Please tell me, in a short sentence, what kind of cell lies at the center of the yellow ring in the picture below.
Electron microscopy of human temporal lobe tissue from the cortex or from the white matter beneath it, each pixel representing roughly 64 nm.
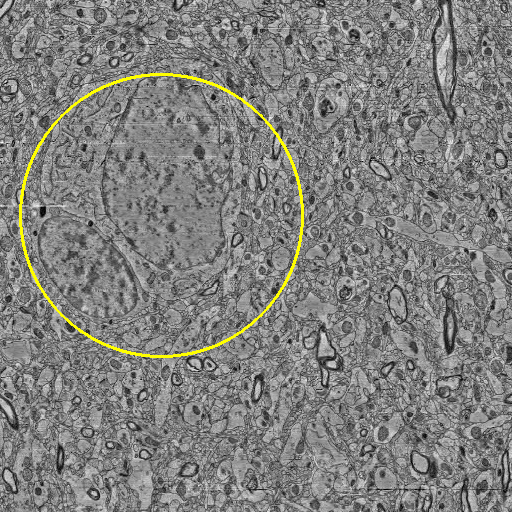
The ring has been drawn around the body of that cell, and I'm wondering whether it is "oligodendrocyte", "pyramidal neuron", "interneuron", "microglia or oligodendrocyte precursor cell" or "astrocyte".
The cell at the center of the ring is an interneuron.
